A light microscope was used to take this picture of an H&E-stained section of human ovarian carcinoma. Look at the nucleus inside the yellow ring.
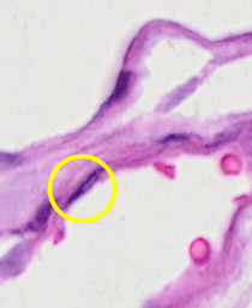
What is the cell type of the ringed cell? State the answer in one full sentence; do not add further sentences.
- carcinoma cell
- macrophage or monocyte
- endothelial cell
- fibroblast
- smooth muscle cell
Considered by cell type, the ringed cell is an endothelial cell.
